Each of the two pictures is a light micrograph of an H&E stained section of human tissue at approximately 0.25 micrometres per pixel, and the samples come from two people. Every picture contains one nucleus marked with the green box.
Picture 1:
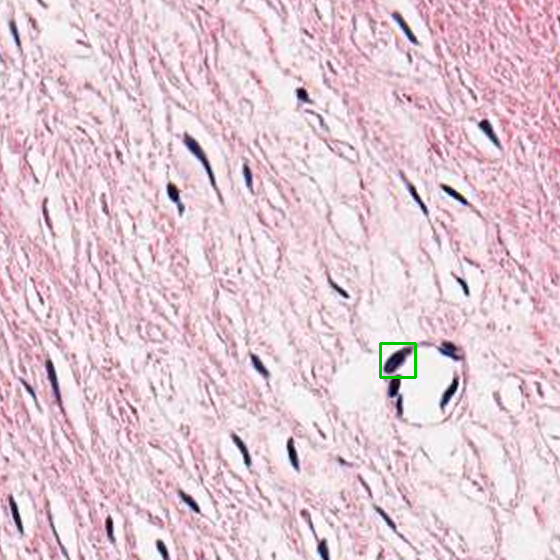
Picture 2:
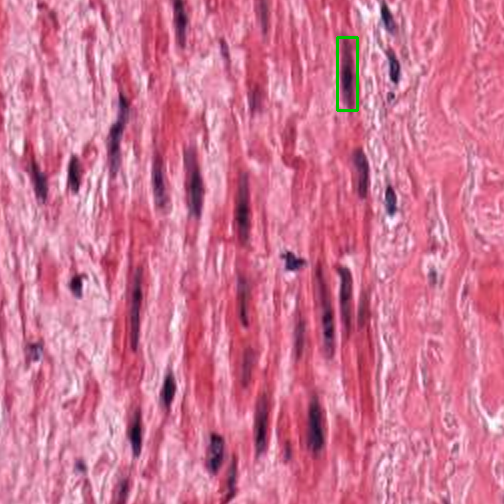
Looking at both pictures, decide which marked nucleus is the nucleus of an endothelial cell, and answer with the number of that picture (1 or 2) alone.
1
